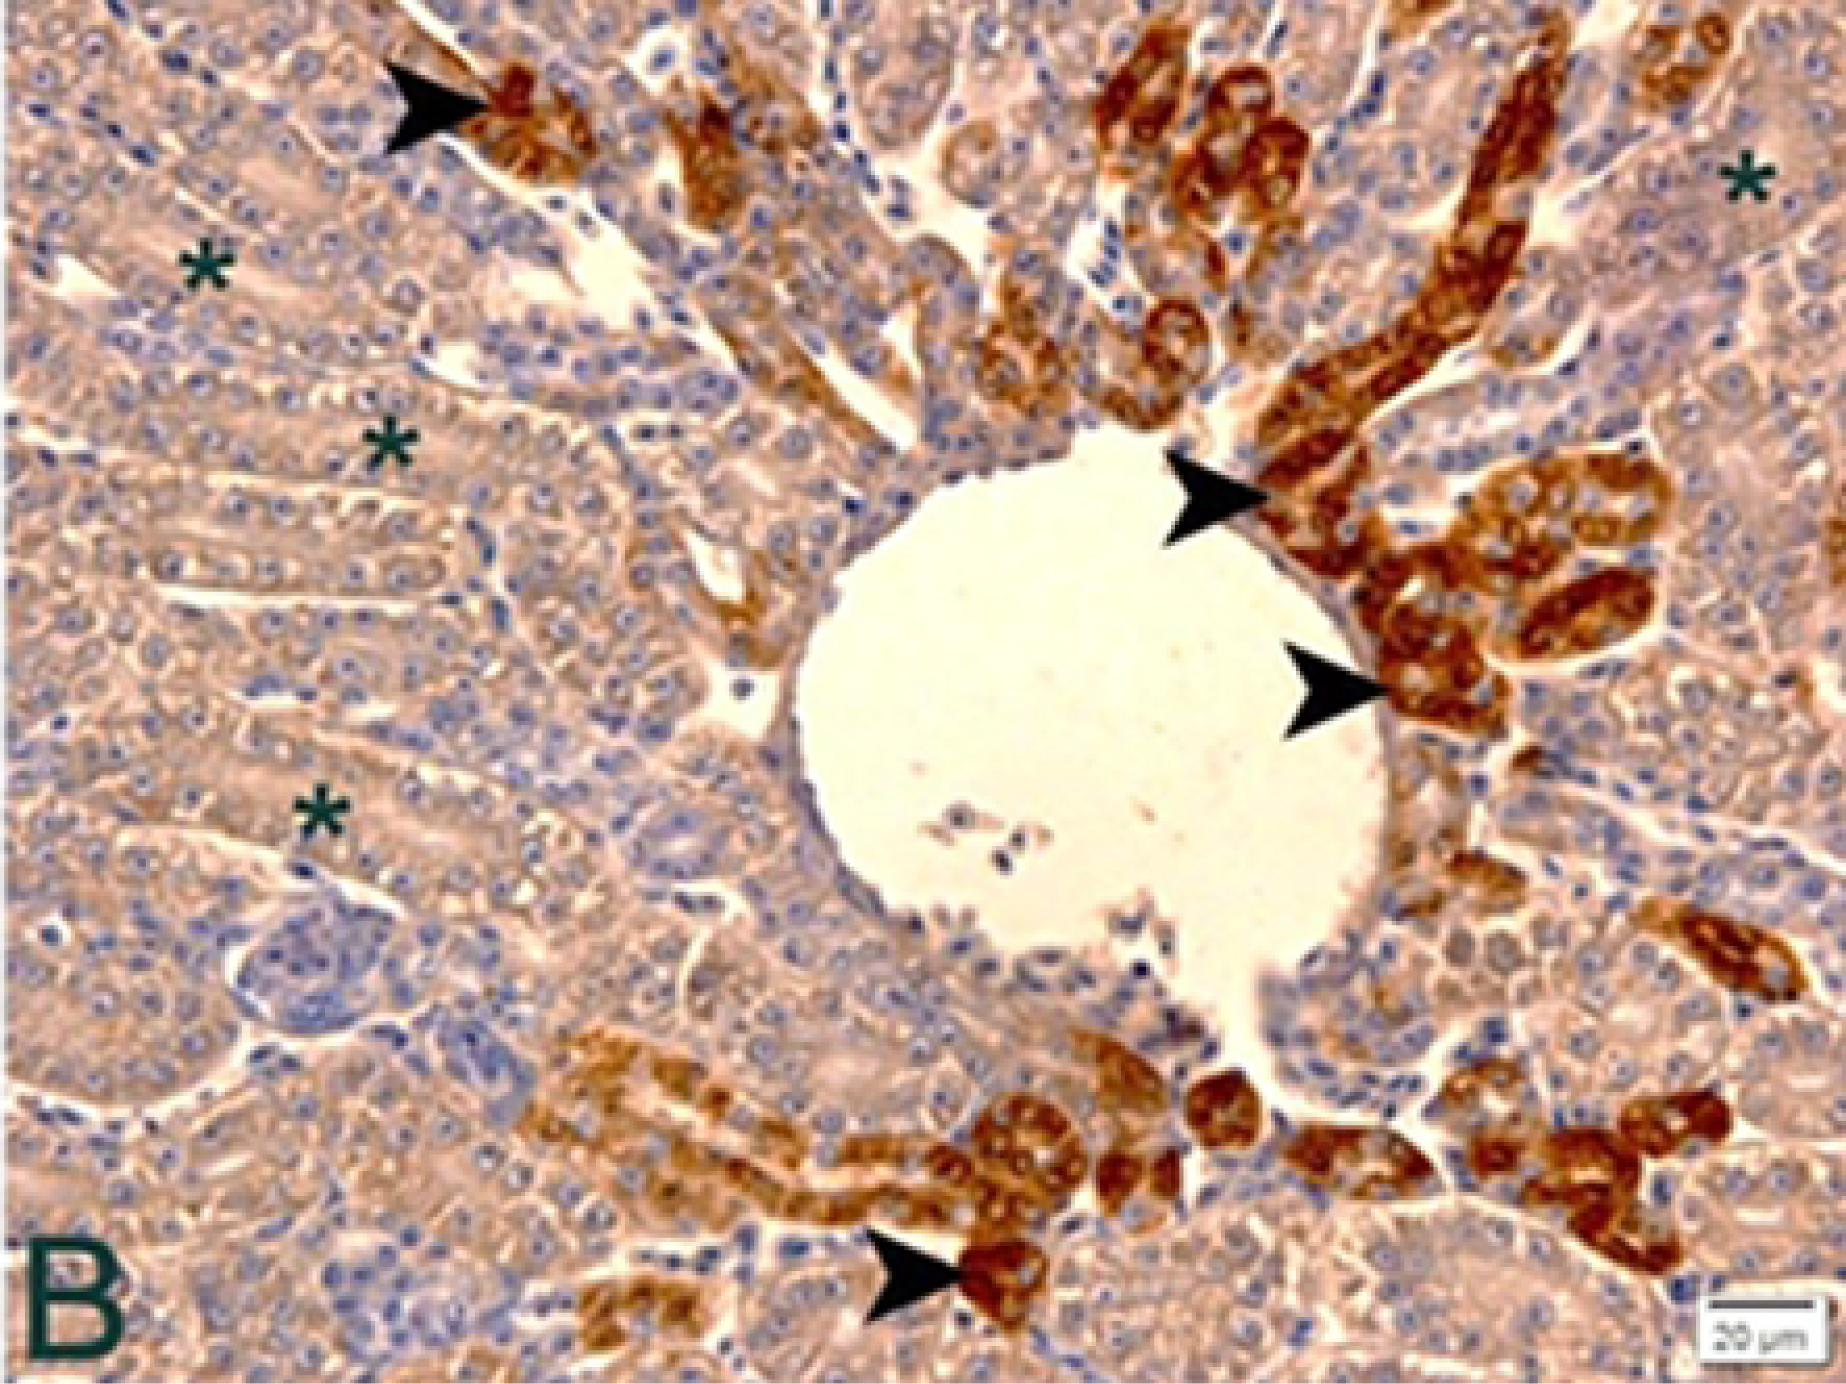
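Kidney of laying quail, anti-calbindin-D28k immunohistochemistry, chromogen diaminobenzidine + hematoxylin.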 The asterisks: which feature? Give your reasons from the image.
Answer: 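Proximal contorted tubules. The asterisks lie on wide tubules of tall cells with pale tan cytoplasm. These tubules are much paler than the dark brown tubules beside the central vessel.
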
